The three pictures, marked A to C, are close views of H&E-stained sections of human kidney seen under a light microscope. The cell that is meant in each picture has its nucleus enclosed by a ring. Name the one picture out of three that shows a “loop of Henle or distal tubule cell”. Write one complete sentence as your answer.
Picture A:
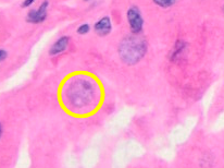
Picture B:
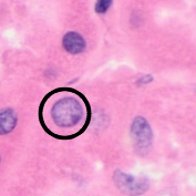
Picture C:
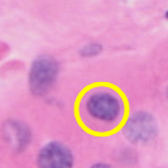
The “loop of Henle or distal tubule cell” is the one in picture C.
